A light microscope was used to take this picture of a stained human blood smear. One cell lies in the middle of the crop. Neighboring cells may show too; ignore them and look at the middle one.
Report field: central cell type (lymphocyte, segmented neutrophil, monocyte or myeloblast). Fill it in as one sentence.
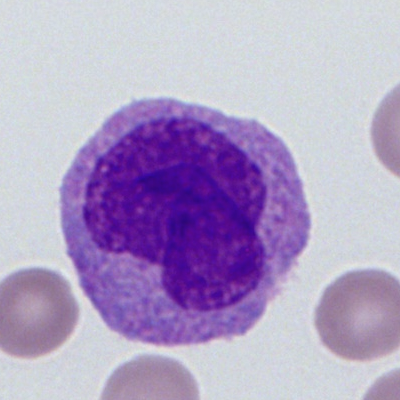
On this slide crop, the central cell is a myeloblast.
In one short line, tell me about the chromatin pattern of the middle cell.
Check the chromatin: it is fine and not coarsely clumped.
